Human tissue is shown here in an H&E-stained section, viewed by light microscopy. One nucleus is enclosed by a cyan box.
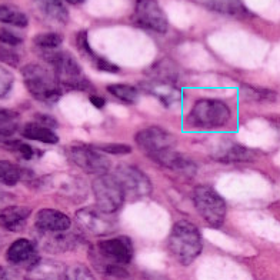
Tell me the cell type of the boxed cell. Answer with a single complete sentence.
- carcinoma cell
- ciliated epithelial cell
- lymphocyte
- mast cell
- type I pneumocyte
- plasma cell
For the purposes of cell typing, the boxed cell is categorized as a ciliated epithelial cell.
